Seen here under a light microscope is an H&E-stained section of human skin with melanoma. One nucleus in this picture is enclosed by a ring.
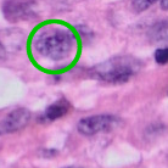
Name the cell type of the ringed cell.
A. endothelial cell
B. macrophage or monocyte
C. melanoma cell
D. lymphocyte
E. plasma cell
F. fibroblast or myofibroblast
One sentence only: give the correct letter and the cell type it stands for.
Since the ringed cell is a melanoma cell, the right option is C.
